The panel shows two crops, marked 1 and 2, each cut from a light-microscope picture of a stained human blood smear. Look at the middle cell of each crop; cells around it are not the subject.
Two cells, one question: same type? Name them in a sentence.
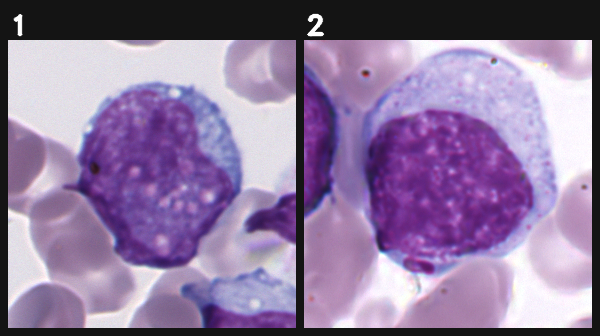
No, crop 1 presents a myeloblast; crop 2 presents a promyelocyte.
